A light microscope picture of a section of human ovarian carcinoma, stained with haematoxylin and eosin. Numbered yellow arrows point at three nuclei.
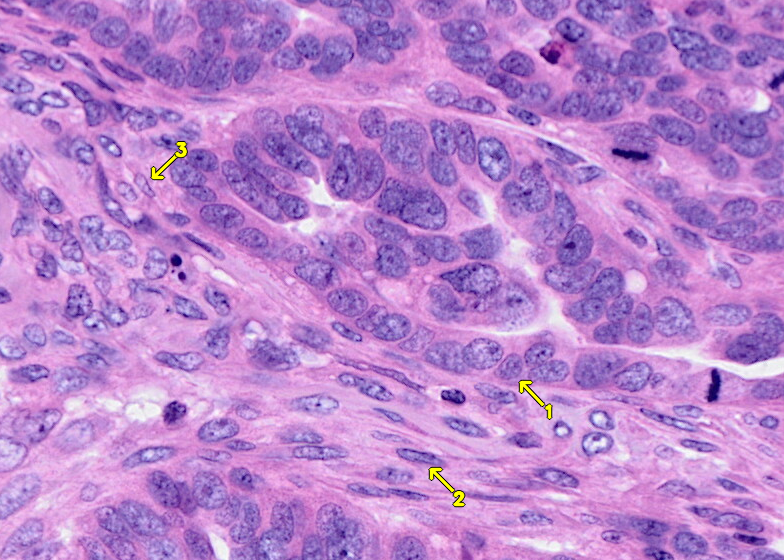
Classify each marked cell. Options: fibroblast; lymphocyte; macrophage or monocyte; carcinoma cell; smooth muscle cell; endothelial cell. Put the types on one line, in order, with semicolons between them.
carcinoma cell; fibroblast; fibroblast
